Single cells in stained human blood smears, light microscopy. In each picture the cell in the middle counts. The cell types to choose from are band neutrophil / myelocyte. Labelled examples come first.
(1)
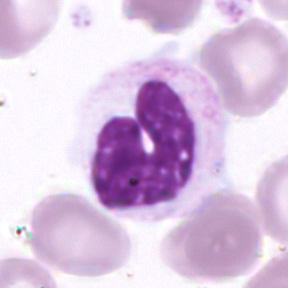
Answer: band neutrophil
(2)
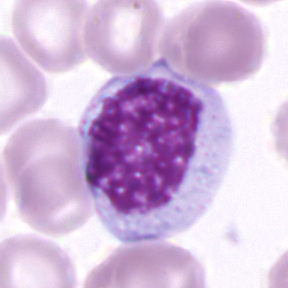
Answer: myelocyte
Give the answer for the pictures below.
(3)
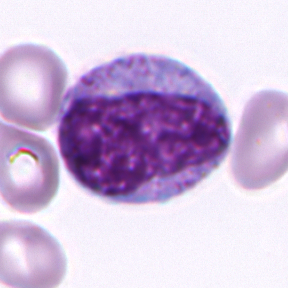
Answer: myelocyte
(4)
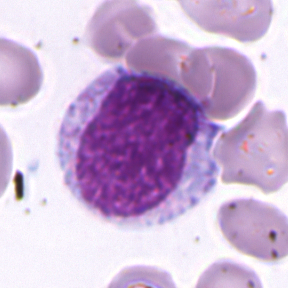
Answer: myelocyte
